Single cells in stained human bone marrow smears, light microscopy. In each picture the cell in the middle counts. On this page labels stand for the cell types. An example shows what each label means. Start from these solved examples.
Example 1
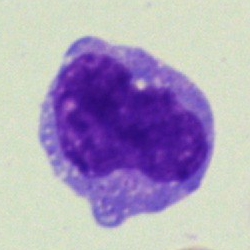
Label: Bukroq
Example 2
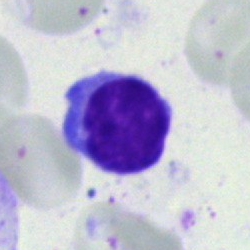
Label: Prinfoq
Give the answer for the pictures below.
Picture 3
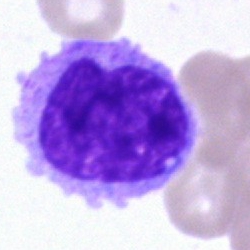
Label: Bukroq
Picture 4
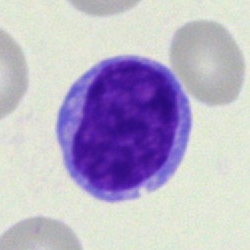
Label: Prinfoq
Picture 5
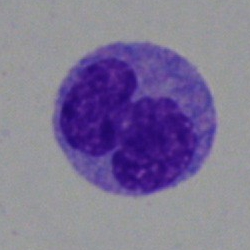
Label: Bukroq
